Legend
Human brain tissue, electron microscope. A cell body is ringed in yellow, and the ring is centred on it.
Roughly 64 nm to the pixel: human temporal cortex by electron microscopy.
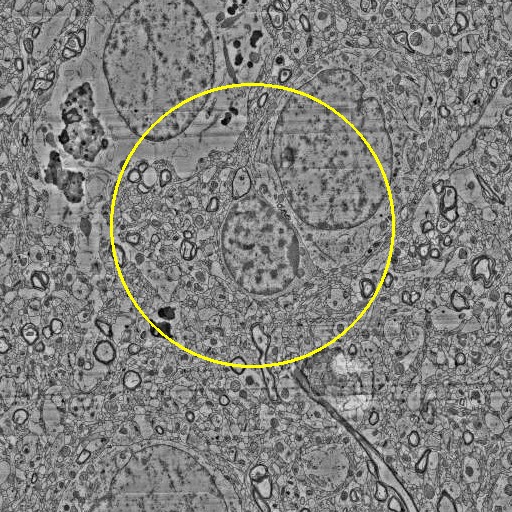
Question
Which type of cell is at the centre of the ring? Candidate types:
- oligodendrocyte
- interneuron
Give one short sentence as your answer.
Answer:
The yellow ring is centred here on an oligodendrocyte.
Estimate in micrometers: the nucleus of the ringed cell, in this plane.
The nucleus works out at approximately 7 by 5 micrometres in this plane.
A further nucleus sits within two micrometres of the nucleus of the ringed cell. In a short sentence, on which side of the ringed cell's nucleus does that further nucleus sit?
The other one lies to the upper right of it.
